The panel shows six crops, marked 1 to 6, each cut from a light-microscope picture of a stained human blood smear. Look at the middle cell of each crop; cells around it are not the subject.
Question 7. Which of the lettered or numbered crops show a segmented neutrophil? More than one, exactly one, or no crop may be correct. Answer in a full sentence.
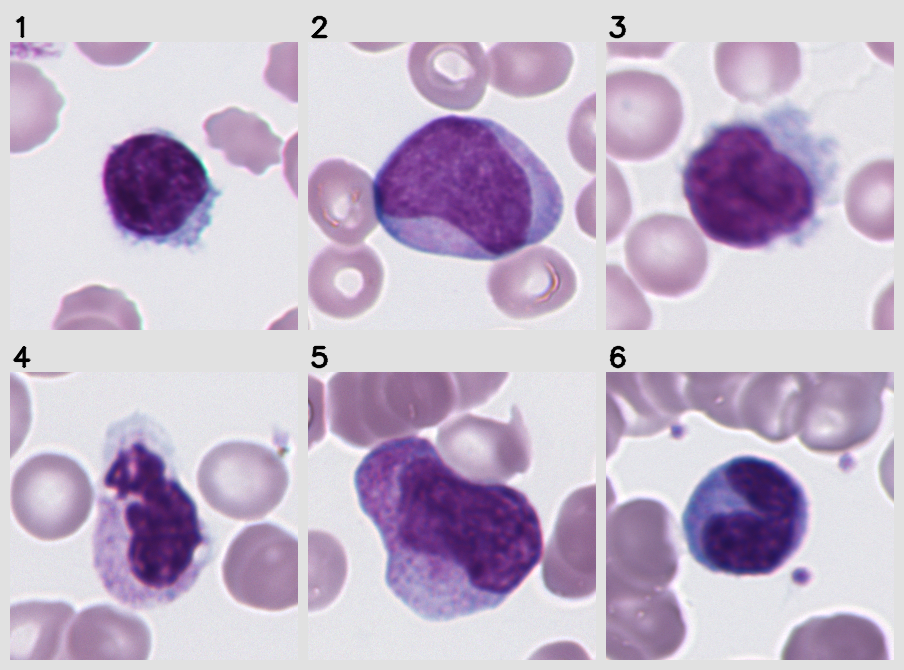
Crop 4 is the only crop whose central cell is a segmented neutrophil.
